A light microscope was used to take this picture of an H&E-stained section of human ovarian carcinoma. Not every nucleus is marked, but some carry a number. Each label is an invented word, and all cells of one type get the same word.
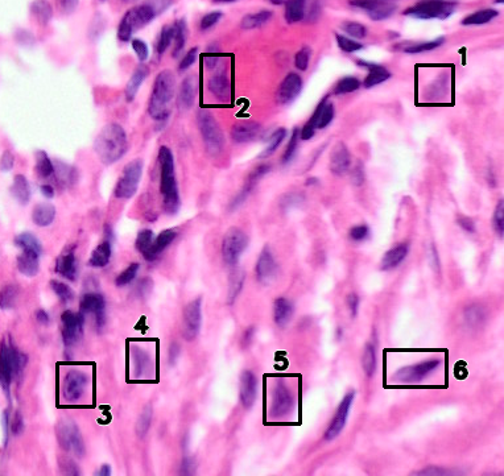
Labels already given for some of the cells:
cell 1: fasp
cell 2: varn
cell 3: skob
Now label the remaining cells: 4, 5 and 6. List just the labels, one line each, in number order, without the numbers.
fasp
fasp
fasp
